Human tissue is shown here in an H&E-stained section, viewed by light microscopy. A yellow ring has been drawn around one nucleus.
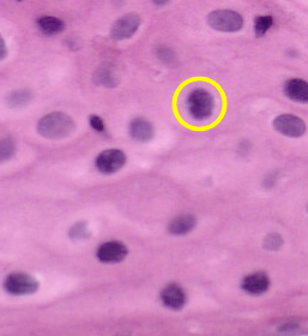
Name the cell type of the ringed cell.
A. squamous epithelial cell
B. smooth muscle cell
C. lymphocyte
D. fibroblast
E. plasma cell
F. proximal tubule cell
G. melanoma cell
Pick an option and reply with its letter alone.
A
